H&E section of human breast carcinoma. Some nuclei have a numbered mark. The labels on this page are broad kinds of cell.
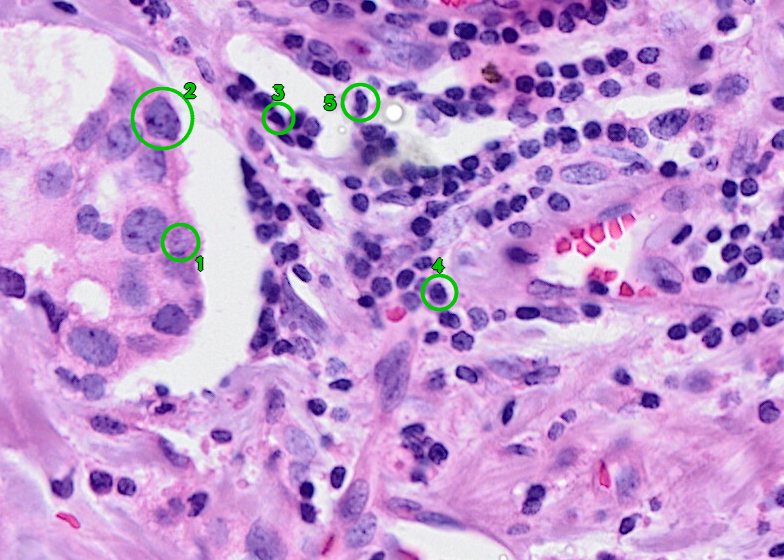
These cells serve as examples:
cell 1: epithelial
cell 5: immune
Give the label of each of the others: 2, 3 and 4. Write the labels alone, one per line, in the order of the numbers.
epithelial
immune
immune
